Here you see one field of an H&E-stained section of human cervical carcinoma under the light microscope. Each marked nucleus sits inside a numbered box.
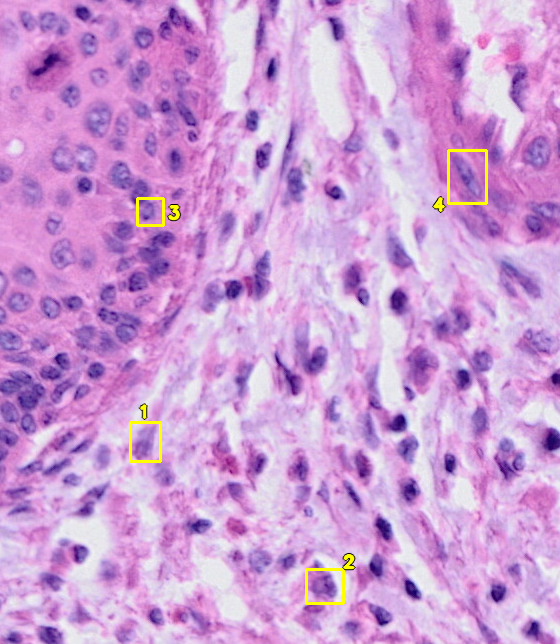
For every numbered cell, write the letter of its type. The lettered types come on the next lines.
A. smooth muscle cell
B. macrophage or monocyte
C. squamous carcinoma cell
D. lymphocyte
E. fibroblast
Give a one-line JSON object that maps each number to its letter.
{"1": "E", "2": "B", "3": "C", "4": "A"}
